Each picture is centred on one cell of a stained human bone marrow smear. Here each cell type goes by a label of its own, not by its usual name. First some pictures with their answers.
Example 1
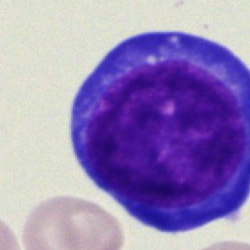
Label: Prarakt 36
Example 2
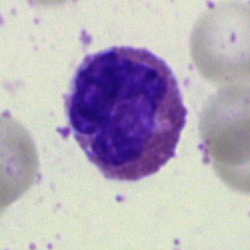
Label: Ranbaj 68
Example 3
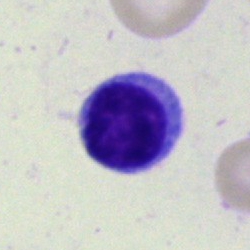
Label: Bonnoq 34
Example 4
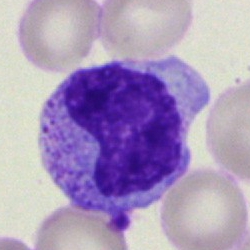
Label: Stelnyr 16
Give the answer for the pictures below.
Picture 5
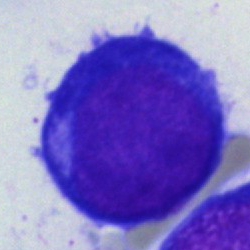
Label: Prarakt 36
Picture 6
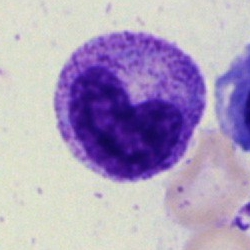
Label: Stelnyr 16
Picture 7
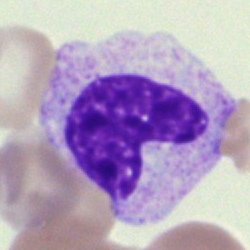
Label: Stelnyr 16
